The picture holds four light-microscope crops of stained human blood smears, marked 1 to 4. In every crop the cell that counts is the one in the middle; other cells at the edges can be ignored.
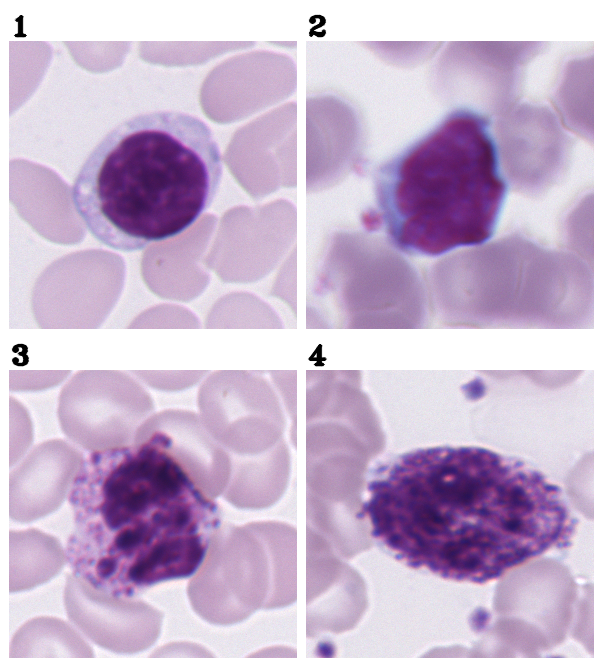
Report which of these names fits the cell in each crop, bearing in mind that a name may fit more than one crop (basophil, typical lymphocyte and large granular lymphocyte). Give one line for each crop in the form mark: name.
1: typical lymphocyte
2: typical lymphocyte
3: basophil
4: basophil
